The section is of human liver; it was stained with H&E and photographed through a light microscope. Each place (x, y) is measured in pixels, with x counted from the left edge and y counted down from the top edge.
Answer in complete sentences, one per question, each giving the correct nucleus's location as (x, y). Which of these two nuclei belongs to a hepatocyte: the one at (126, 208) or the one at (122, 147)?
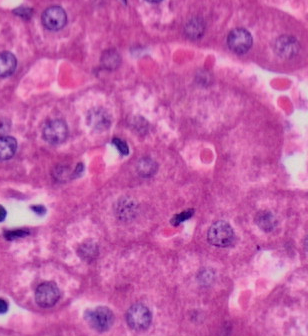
The nucleus at (126, 208) is assigned to a hepatocyte.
